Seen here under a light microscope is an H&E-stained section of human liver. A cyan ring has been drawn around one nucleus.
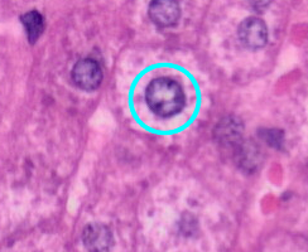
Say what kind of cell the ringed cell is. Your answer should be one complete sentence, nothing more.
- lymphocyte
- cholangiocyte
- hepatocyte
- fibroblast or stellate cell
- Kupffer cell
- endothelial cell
Just put down that the ringed cell is a hepatocyte.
